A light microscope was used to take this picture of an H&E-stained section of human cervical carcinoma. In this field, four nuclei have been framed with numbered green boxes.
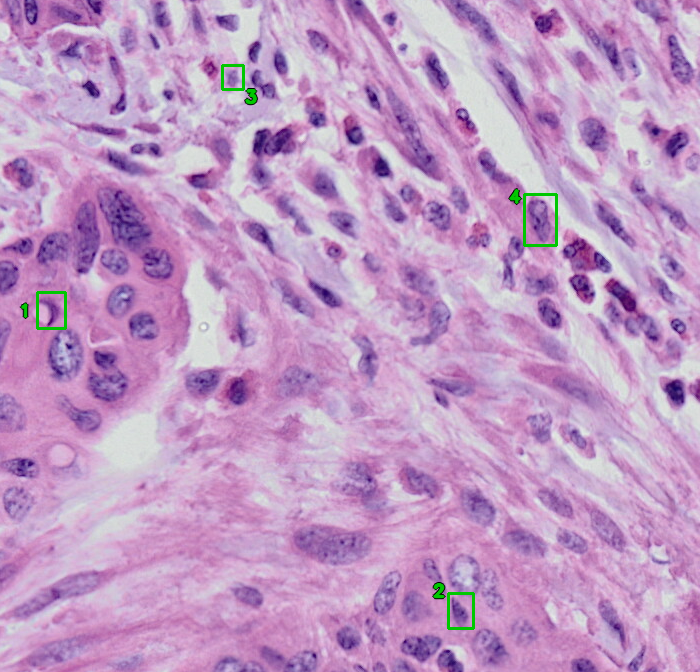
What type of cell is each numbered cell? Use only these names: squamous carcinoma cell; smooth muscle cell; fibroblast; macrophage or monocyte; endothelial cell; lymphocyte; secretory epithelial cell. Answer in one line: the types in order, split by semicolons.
squamous carcinoma cell; squamous carcinoma cell; fibroblast; macrophage or monocyte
